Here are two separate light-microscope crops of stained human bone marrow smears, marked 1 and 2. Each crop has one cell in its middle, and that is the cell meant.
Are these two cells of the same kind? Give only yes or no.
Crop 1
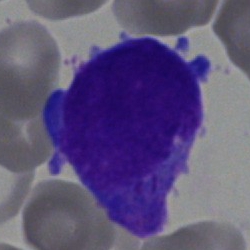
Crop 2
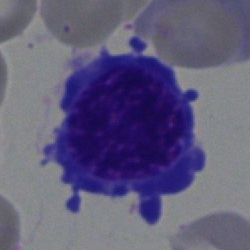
no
